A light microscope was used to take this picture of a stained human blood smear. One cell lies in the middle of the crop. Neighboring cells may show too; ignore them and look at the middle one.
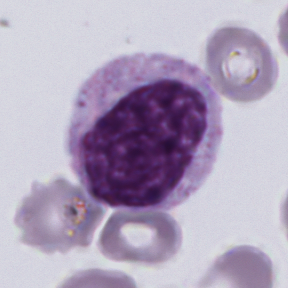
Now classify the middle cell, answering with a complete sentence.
The cell shown in the center of this light-microscope crop is a metamyelocyte.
